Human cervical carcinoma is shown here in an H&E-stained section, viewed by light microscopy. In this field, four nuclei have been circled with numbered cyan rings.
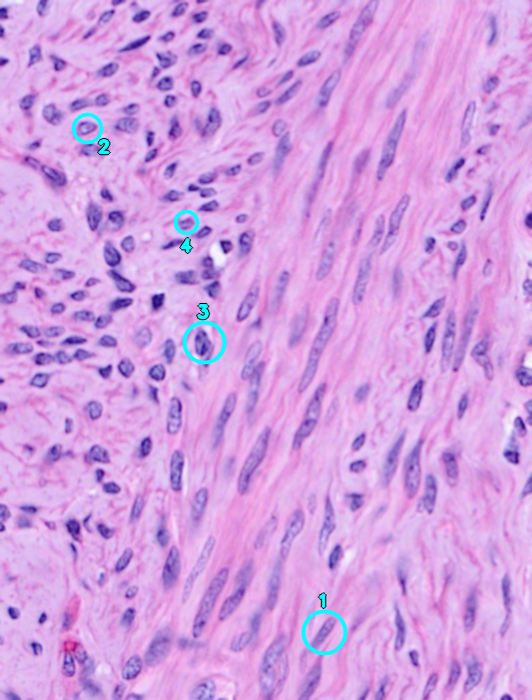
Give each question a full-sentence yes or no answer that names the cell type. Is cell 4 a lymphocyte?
No, it's not a lymphocyte at number 4; that cell is a smooth muscle cell.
